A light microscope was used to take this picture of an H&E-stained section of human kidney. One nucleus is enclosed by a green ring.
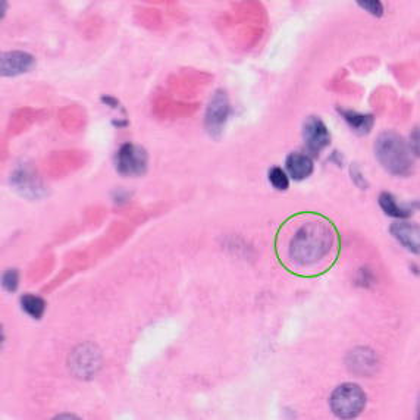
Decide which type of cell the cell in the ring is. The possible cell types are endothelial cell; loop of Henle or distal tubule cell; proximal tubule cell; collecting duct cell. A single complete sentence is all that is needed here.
The correct response here is that the cell in the ring is a proximal tubule cell.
